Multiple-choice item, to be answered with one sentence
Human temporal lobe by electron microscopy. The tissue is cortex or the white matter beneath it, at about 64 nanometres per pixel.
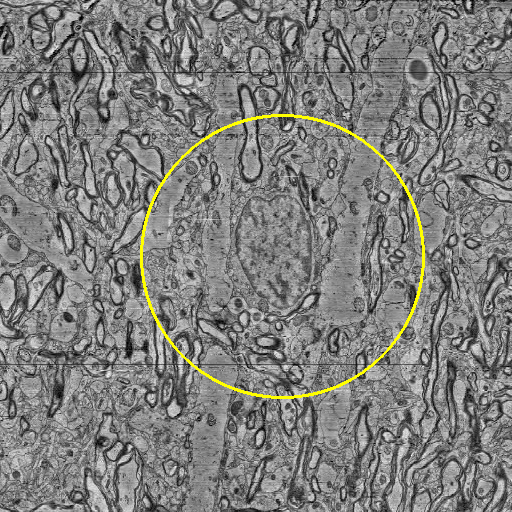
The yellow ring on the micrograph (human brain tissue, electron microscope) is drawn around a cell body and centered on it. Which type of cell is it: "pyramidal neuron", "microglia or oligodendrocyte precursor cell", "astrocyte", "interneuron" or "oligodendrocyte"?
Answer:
The ring is centered on an oligodendrocyte.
